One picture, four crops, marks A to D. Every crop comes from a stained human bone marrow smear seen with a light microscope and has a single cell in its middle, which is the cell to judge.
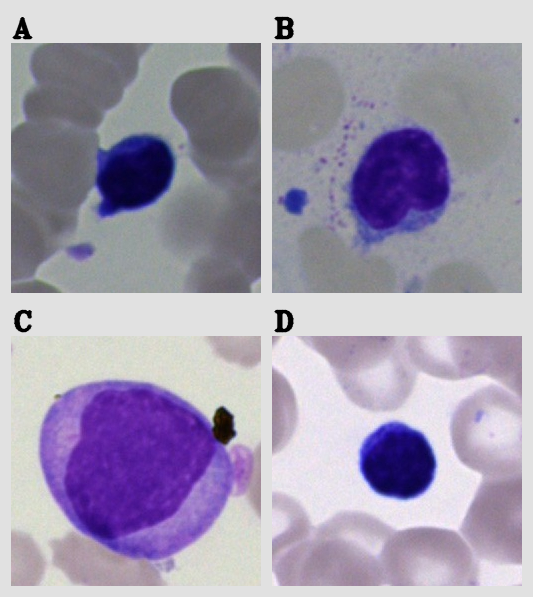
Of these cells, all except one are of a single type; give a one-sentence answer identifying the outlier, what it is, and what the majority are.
Although the other crops all show lymphocytes, crop C shows a blast.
